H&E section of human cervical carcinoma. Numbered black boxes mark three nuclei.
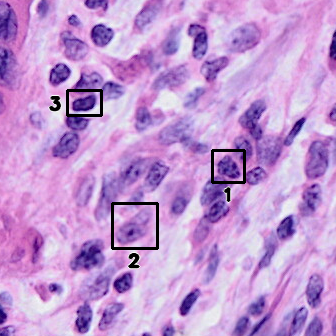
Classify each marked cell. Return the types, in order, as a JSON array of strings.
["lymphocyte", "macrophage or monocyte", "lymphocyte"]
